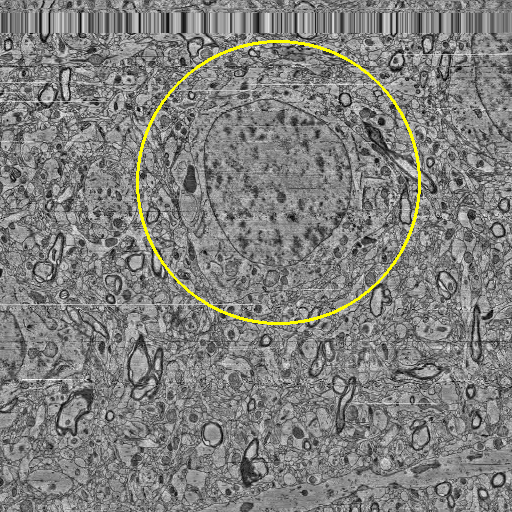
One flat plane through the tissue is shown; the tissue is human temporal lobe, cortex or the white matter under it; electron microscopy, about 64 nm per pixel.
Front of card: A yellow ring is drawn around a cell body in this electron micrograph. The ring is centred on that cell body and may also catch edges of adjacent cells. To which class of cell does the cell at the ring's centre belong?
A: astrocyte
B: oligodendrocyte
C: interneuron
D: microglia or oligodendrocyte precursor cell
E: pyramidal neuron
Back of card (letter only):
E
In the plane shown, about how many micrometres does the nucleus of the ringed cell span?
The nucleus is about 10 micrometres across in this plane.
